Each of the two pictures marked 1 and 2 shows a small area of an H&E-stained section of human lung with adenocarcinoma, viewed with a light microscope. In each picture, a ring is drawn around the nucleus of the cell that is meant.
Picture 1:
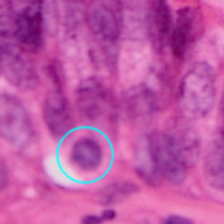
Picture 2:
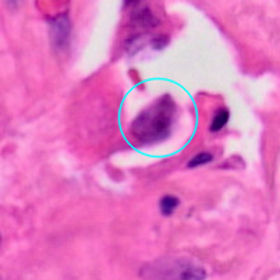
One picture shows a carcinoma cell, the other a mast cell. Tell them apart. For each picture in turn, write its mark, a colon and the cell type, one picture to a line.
1: mast cell
2: carcinoma cell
